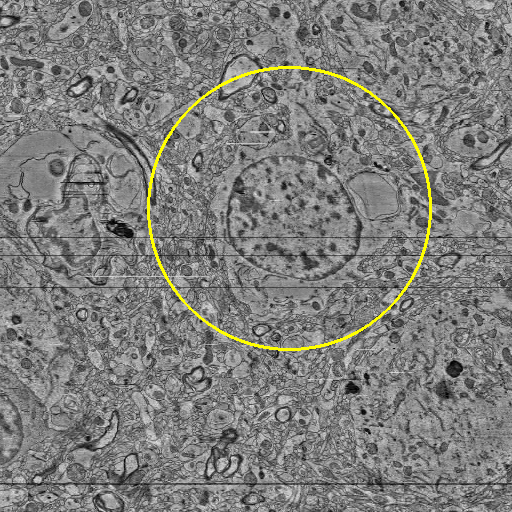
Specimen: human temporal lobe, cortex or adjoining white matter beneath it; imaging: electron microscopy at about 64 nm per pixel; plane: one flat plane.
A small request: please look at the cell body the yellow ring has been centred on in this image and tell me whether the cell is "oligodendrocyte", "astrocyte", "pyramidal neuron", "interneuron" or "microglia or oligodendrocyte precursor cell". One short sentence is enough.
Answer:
The cell marked by the ring is an astrocyte.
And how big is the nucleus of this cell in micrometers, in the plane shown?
The nucleus has a long axis of about 9 micrometres and a short axis of about 8 micrometres in this plane.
